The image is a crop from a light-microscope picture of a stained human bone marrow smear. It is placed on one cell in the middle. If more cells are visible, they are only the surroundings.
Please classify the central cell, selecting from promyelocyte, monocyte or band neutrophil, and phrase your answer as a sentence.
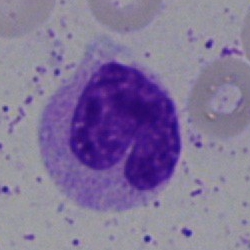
The middle cell in this particular crop is a band neutrophil.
